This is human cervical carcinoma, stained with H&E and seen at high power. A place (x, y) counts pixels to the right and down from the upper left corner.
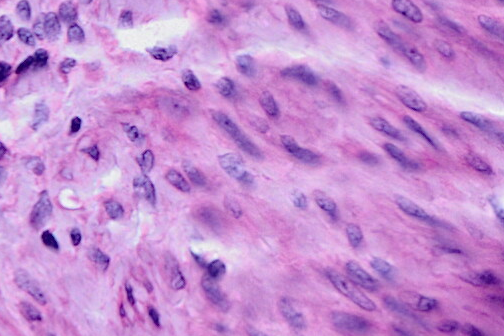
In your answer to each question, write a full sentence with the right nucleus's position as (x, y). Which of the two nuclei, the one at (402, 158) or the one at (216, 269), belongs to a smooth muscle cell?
The one belonging to a smooth muscle cell is the nucleus at (402, 158), not the other.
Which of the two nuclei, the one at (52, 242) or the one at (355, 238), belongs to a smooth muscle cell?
Between the two nuclei, the one sitting at (355, 238) belongs to a smooth muscle cell.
